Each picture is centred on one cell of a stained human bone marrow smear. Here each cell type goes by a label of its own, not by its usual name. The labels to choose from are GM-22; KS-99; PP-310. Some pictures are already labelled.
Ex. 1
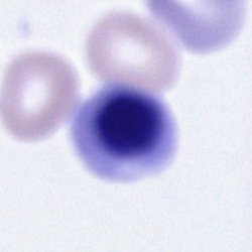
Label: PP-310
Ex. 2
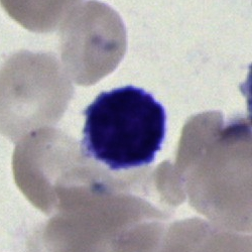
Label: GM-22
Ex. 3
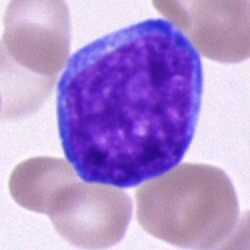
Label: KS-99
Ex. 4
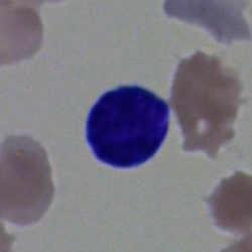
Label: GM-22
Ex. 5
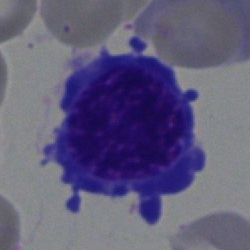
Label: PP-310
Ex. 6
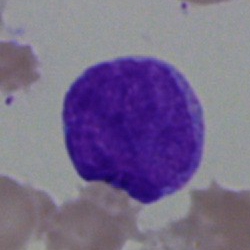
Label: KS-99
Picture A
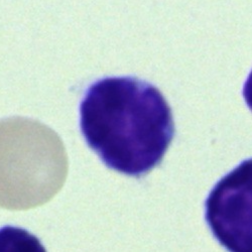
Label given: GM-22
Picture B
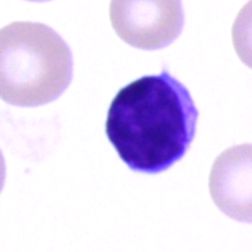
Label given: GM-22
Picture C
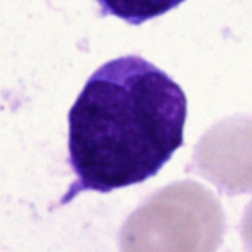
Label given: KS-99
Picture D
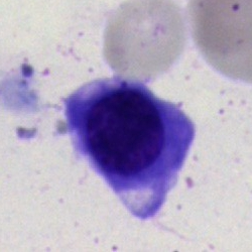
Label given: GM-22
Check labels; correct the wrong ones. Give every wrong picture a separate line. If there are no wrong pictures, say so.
Wrong: D (GM-22); correct: PP-310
